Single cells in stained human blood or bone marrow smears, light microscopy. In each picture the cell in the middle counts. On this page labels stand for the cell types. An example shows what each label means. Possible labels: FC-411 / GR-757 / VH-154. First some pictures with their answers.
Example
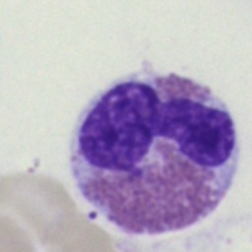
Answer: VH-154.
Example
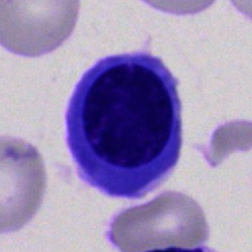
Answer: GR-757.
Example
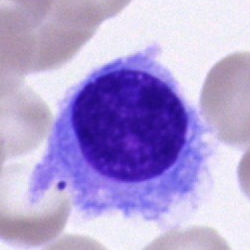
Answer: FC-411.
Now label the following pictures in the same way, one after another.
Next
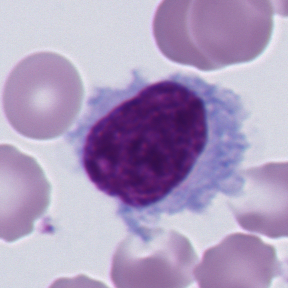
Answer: FC-411.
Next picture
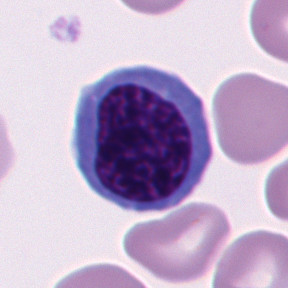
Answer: GR-757.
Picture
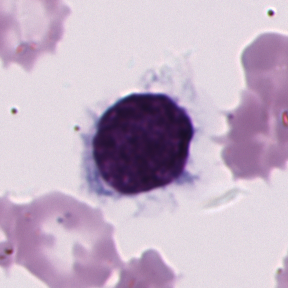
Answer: FC-411.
